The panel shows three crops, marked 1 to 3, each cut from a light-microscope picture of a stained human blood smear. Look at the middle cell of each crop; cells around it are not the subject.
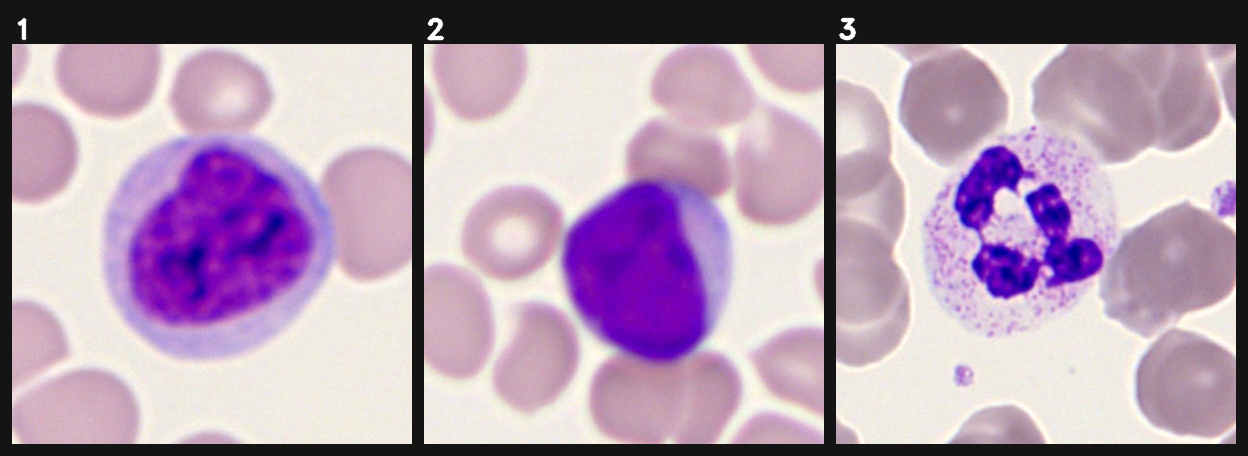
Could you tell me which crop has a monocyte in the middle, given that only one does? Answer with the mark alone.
1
